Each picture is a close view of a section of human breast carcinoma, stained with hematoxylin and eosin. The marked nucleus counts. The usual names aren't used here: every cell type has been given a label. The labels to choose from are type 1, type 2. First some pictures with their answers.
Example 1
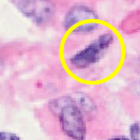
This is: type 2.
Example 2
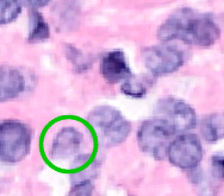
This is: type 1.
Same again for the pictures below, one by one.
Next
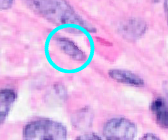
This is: type 2.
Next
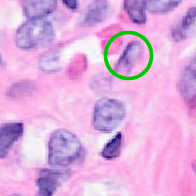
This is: type 2.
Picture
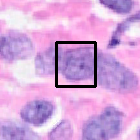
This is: type 1.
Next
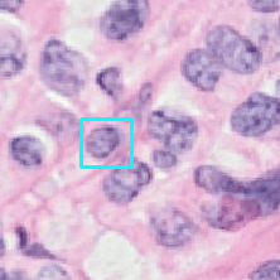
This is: type 1.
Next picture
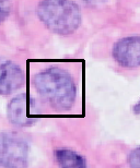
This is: type 1.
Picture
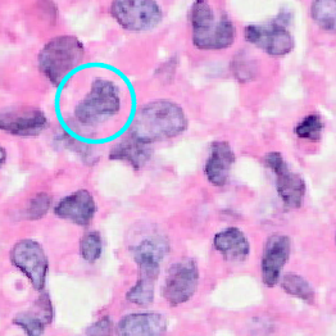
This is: type 1.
